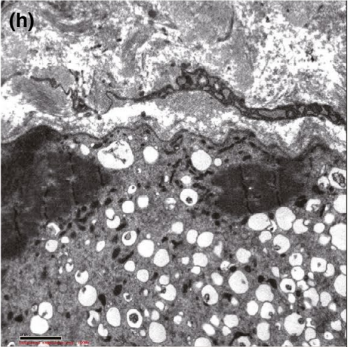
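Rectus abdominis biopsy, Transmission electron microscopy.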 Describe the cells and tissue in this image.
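An electron micrograph of a skeletal muscle fiber in which the regular myofibrils are largely lost and replaced by cytoplasm crowded with round clear vacuoles and dark granules. A few dark-staining remnants of contractile material remain, and loose interstitial tissue lies along the top of the fiber.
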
